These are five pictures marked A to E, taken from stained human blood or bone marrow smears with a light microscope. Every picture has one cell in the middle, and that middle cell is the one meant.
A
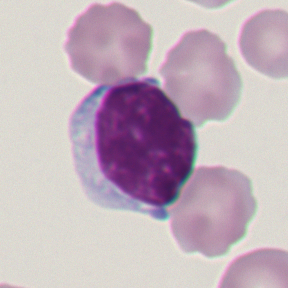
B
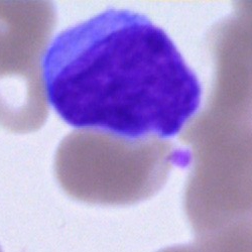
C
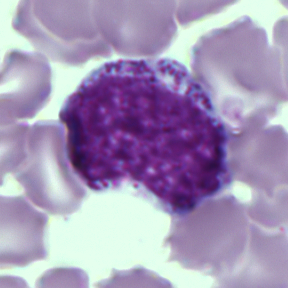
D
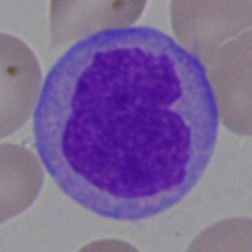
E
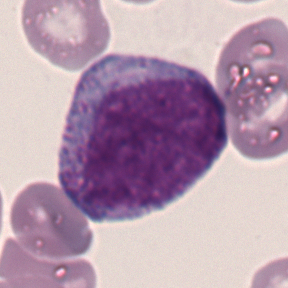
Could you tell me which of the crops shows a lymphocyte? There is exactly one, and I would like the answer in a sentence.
Crop A is where a lymphocyte is to be found.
